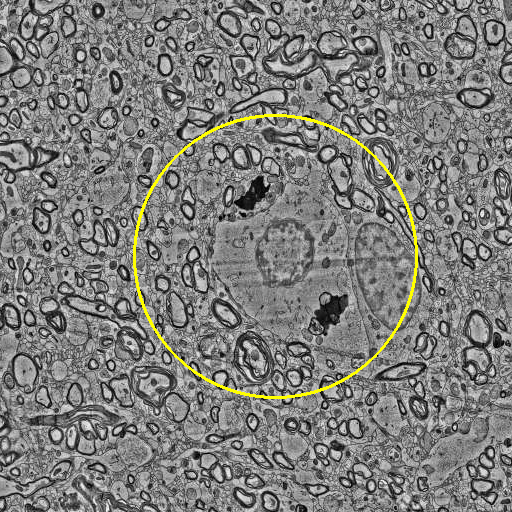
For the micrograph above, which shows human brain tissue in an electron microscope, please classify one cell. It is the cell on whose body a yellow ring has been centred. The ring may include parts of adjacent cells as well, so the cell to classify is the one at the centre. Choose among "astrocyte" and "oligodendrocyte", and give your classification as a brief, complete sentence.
I classify this cell as an astrocyte.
